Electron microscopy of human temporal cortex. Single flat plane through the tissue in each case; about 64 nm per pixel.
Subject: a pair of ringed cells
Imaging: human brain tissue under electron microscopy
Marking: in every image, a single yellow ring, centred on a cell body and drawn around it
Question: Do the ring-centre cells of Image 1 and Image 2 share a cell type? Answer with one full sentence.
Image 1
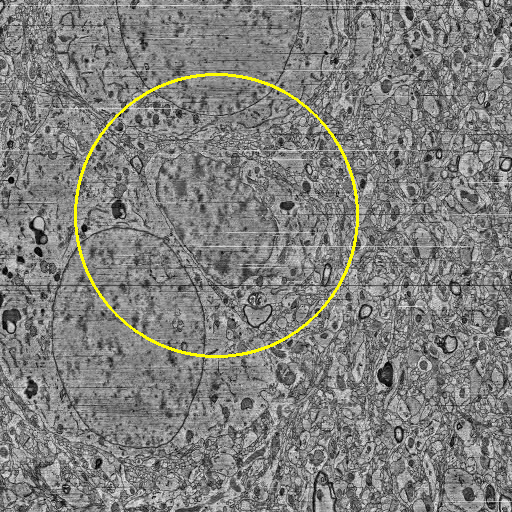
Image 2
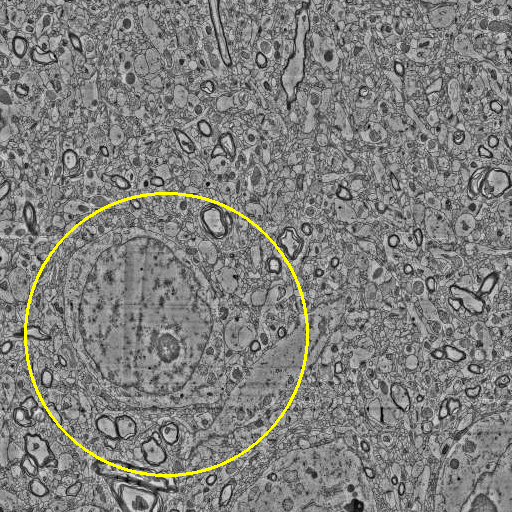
No, at the ring centres in the images sit cells of two separate types.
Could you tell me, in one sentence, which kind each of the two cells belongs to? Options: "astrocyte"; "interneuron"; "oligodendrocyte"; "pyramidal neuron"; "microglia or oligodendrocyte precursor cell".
At the centre of the first ring sits an interneuron, and at the centre of the second sits a pyramidal neuron.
